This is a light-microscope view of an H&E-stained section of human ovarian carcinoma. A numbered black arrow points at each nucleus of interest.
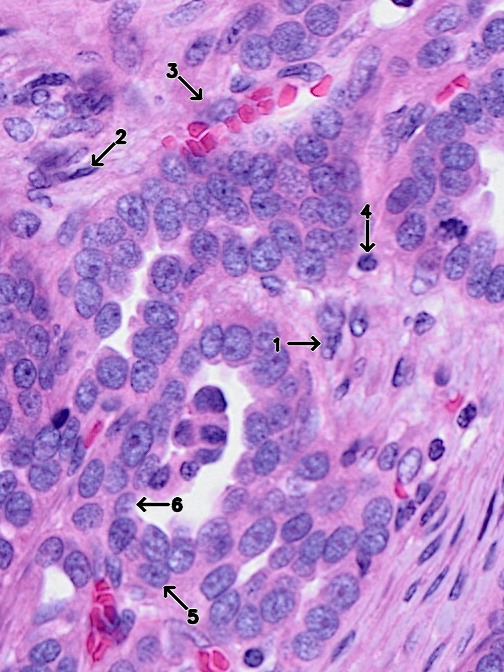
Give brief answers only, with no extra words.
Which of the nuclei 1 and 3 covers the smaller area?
1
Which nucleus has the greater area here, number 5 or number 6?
5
